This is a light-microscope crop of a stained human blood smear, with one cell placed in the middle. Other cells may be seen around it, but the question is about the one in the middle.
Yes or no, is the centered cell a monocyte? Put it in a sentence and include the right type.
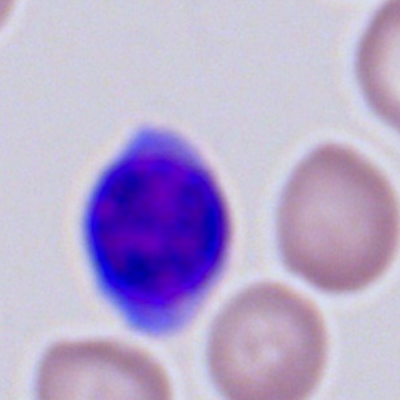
No, the central cell is not a monocyte; it is a lymphocyte instead.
